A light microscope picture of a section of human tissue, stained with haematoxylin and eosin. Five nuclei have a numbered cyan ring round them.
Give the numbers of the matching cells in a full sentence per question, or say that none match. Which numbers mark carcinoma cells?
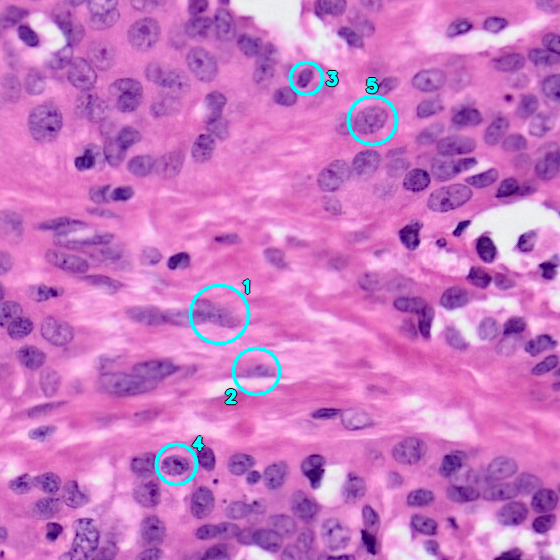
With the exception of cell 5, no marked cell is a carcinoma cell.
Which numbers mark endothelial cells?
Found among the numbered cells are no endothelial cells.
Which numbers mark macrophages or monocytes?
The cells numbered 3 and 4 fall into the category of macrophages or monocytes.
